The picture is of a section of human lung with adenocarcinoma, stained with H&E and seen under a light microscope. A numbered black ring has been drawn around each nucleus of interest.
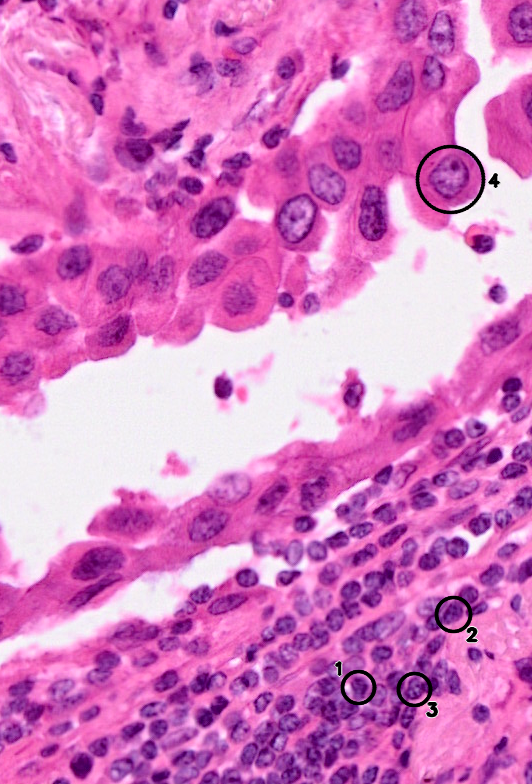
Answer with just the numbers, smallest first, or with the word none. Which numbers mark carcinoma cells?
4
